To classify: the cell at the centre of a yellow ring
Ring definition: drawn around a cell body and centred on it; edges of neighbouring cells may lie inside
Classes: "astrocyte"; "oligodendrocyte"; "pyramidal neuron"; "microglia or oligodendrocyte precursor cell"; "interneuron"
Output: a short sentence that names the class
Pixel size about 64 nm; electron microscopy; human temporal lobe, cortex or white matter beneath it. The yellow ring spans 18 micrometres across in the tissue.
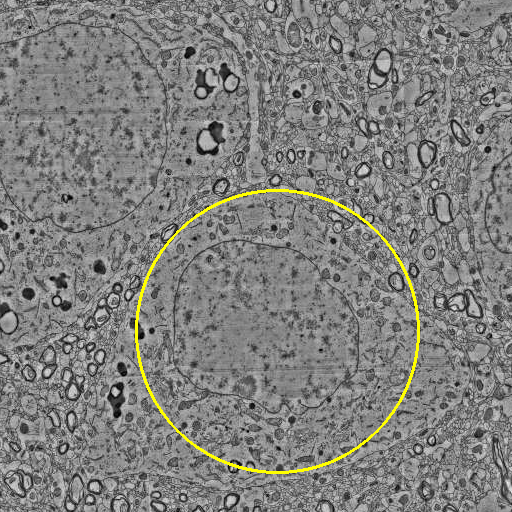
The ringed cell is a pyramidal neuron.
